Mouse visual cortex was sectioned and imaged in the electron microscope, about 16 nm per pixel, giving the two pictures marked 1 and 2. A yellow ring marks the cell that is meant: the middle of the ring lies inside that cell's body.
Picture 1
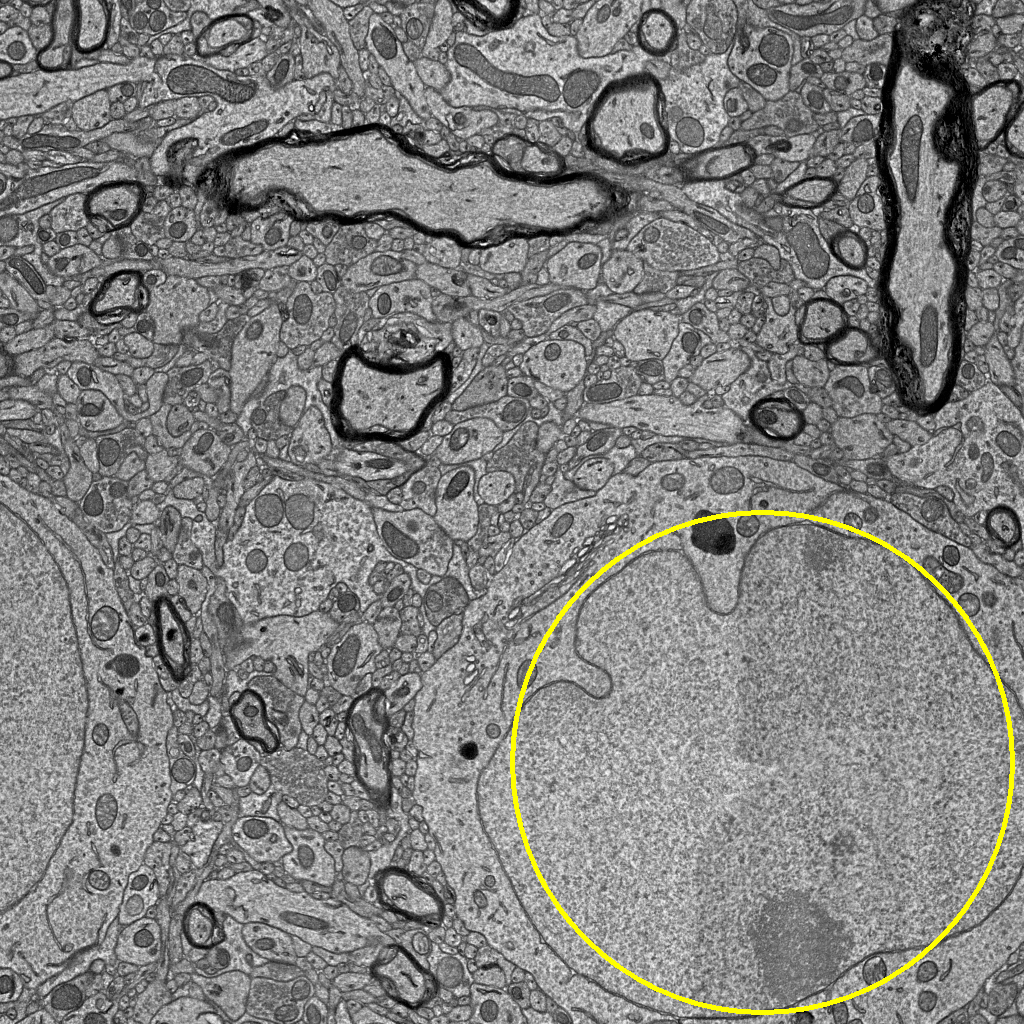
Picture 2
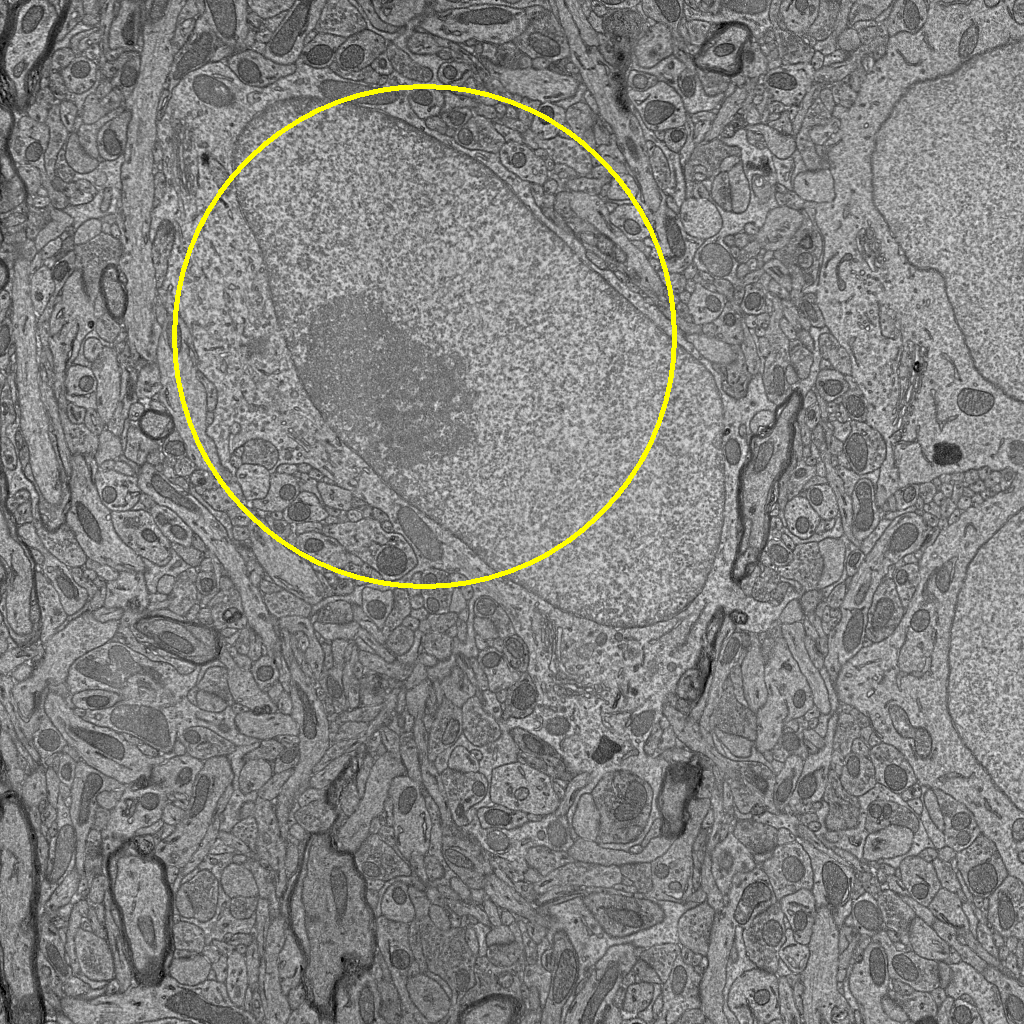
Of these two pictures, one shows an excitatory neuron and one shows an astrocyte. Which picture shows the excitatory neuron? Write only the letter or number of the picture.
1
